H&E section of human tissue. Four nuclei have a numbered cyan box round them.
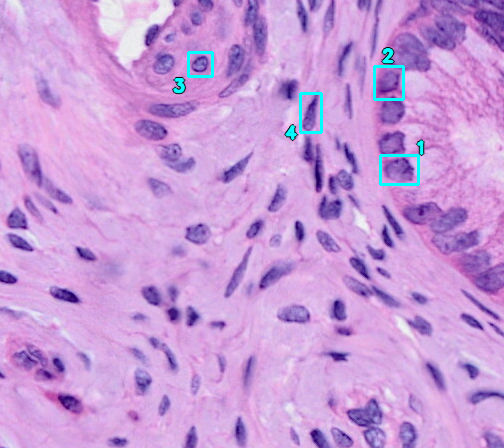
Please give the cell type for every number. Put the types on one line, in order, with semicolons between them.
secretory epithelial cell; secretory epithelial cell; smooth muscle cell; fibroblast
